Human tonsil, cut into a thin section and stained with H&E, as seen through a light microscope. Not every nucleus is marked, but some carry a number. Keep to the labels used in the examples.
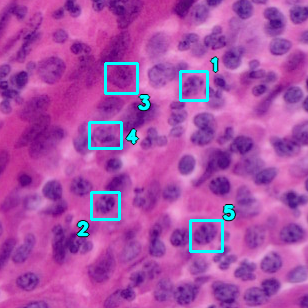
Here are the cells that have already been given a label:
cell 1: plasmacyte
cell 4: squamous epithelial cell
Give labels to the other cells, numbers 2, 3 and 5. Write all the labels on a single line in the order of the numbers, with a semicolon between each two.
plasmacyte; squamous epithelial cell; plasmacyte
